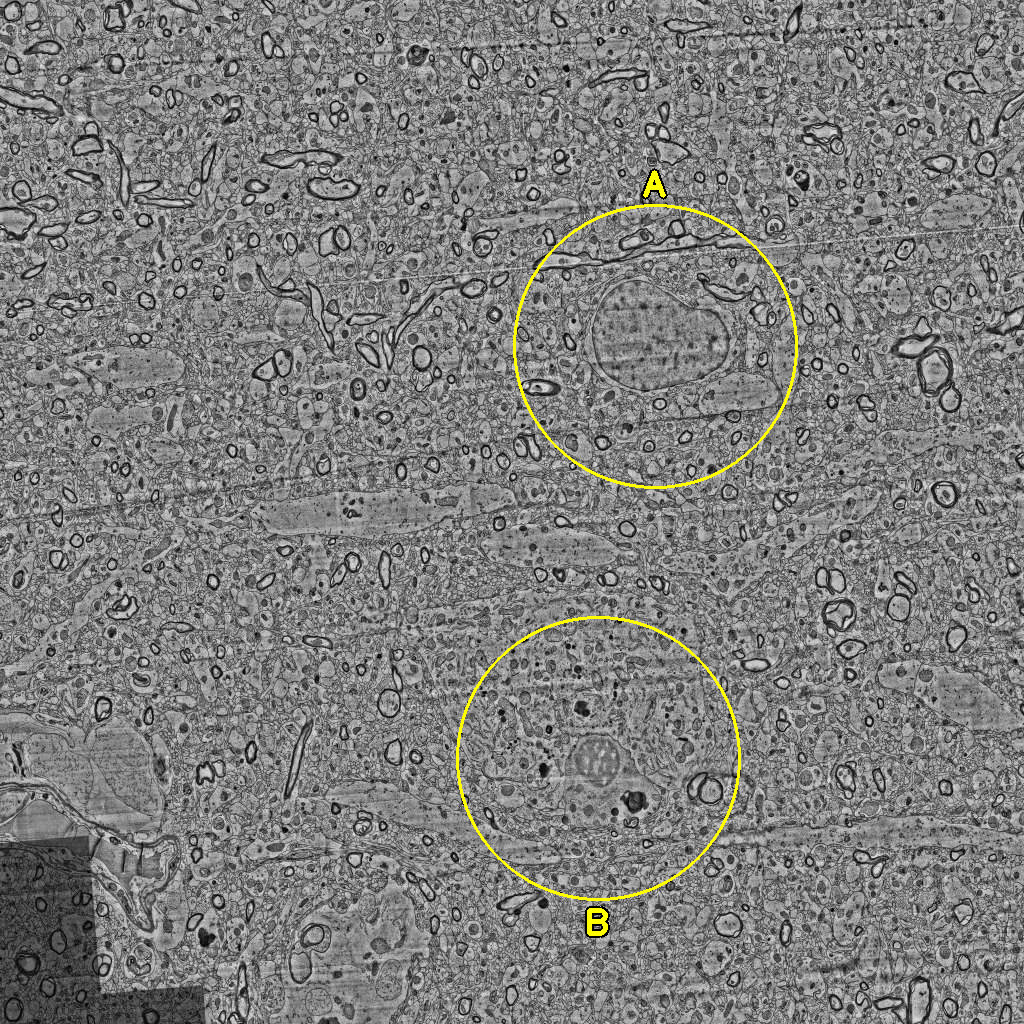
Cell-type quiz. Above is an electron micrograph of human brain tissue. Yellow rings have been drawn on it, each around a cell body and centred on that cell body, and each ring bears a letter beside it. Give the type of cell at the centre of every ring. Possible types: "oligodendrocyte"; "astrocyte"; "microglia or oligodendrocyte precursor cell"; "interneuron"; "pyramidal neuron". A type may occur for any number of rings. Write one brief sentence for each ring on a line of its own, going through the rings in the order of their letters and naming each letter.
Ring A is centred on the cell body of a microglial cell or oligodendrocyte precursor cell.
Ring B is centred on the cell body of an oligodendrocyte.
